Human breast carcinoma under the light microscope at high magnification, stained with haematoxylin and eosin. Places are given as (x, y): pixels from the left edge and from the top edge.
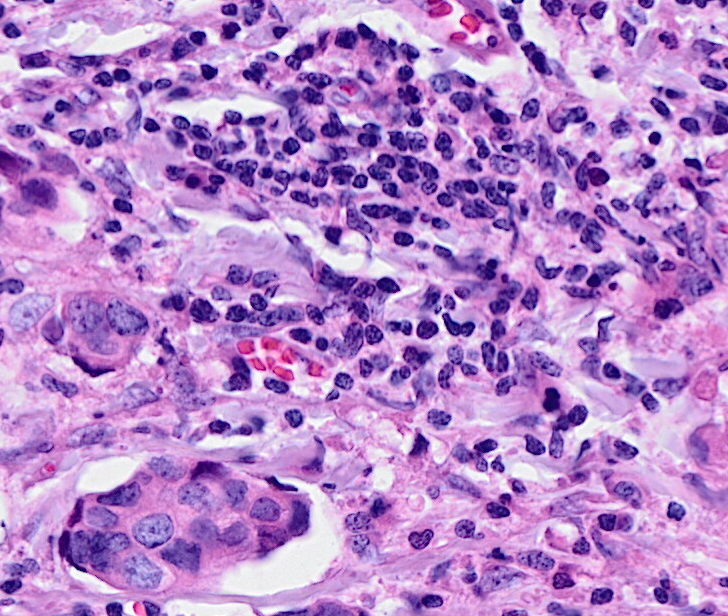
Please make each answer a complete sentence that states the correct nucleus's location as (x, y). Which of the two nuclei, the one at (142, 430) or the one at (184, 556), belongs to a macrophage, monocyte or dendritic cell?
The nucleus at (142, 430) is part of a macrophage, monocyte or dendritic cell, while the other is not.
